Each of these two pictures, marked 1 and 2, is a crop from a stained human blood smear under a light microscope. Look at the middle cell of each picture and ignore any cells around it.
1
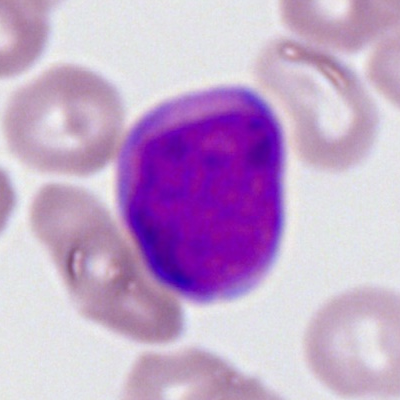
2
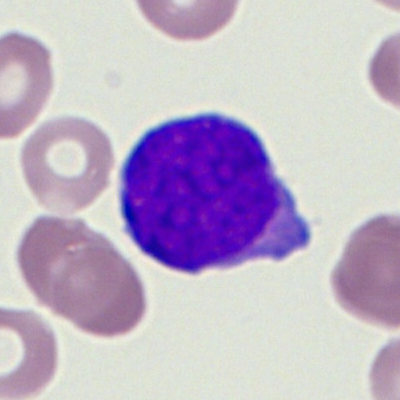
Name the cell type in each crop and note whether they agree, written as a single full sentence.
Yes, both crops show blasts as the central cells.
